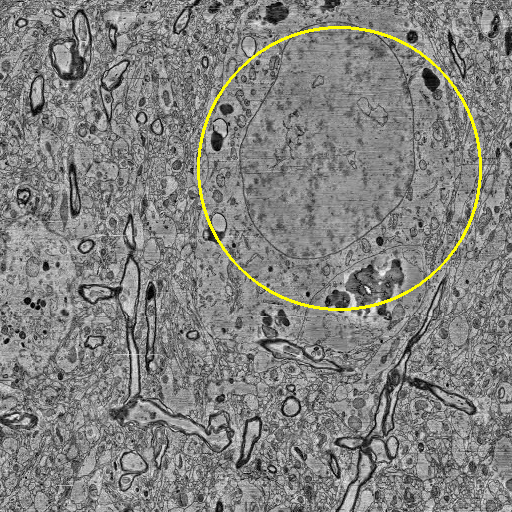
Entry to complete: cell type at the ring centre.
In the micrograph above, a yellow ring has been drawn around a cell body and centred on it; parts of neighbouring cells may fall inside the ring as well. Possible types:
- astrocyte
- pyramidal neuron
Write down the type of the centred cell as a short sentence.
The ring is centred on a pyramidal neuron.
